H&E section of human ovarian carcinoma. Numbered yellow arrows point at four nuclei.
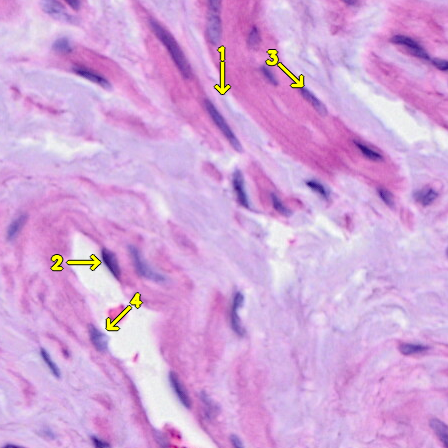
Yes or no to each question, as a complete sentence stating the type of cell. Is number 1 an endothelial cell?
No, cell 1 does not count as an endothelial cell; it is a smooth muscle cell.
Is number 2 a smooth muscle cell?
No, the cell given the number 2 is an endothelial cell, so not a smooth muscle cell.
